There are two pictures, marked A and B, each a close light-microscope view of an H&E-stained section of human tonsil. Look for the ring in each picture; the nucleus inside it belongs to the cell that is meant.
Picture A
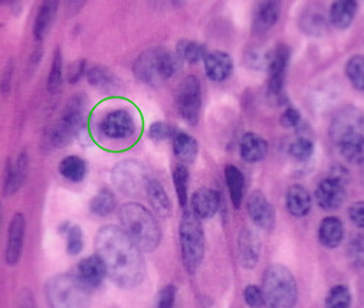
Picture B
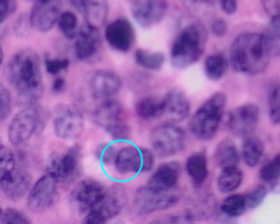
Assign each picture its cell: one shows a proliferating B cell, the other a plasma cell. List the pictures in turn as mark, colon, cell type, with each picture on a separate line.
A: plasma cell
B: proliferating B cell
